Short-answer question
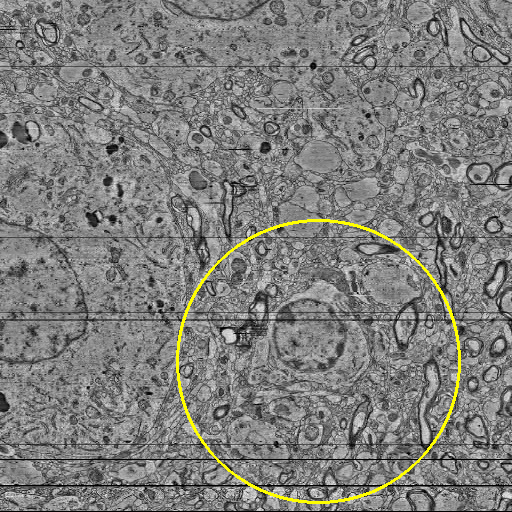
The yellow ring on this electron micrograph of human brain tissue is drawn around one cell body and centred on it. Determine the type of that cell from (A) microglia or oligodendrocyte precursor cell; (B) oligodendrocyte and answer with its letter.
A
